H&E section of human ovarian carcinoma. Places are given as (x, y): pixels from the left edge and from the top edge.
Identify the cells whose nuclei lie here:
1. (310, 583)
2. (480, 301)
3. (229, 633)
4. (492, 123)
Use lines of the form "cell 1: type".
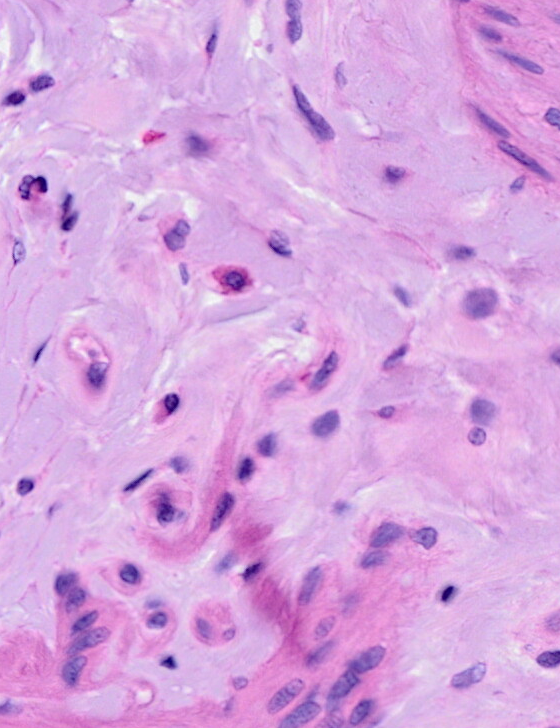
cell 1: smooth muscle cell
cell 2: fibroblast
cell 3: smooth muscle cell
cell 4: smooth muscle cell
